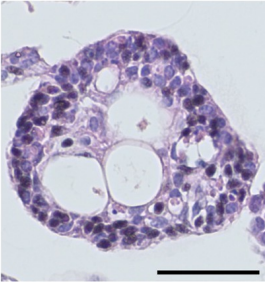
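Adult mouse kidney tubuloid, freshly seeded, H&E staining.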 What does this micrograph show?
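Nuclei are oval to round, dark purple, densely packed around the periphery and between cavities. Cytoplasm is pale pink. The small lumina are round, clear, and lined by flattened to cuboidal cells. Some lumina contain faint pale material.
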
